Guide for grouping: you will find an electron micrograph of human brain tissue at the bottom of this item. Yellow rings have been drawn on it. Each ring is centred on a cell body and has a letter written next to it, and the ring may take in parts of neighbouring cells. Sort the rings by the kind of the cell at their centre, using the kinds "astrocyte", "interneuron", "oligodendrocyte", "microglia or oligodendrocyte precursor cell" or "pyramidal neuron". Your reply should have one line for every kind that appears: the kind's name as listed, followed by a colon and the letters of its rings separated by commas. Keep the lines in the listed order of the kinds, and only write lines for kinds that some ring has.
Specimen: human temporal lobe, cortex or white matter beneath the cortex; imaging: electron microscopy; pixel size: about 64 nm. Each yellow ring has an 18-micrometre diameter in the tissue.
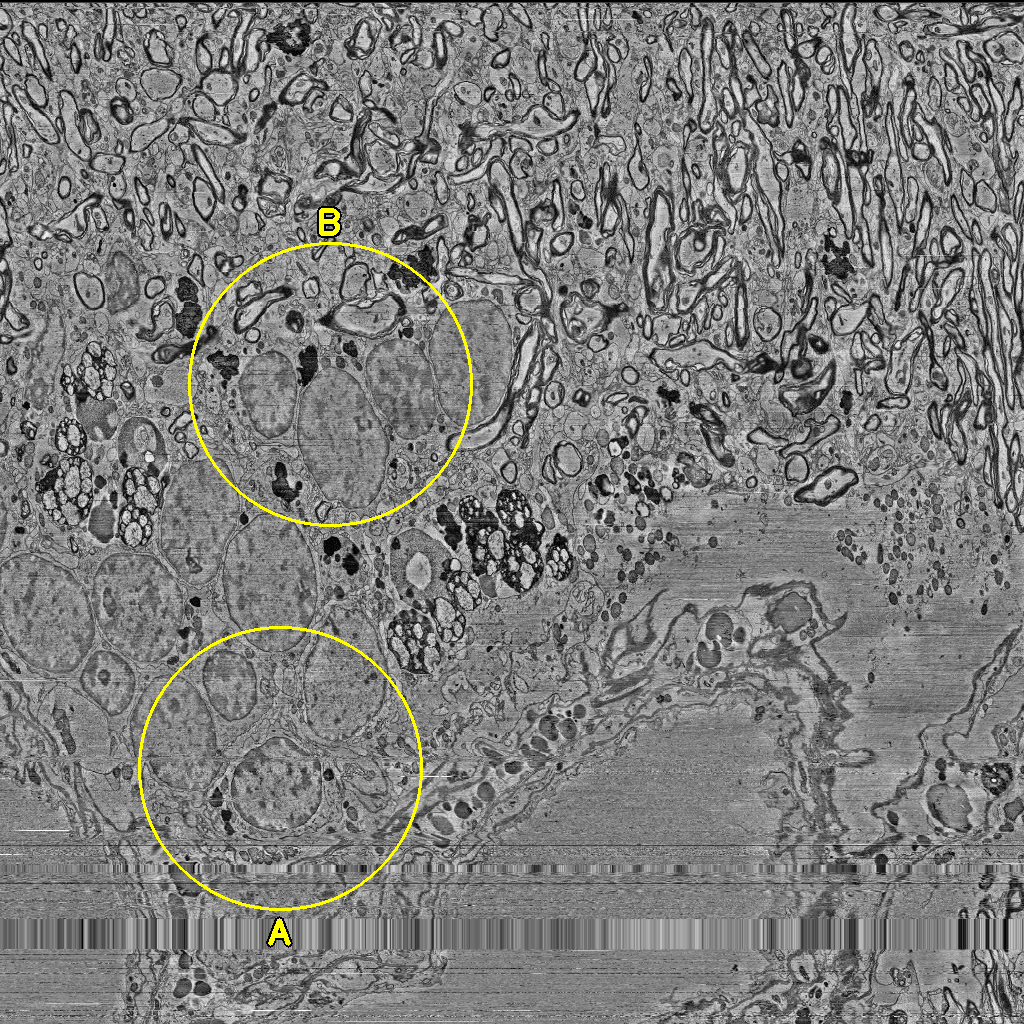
oligodendrocyte: B
microglia or oligodendrocyte precursor cell: A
